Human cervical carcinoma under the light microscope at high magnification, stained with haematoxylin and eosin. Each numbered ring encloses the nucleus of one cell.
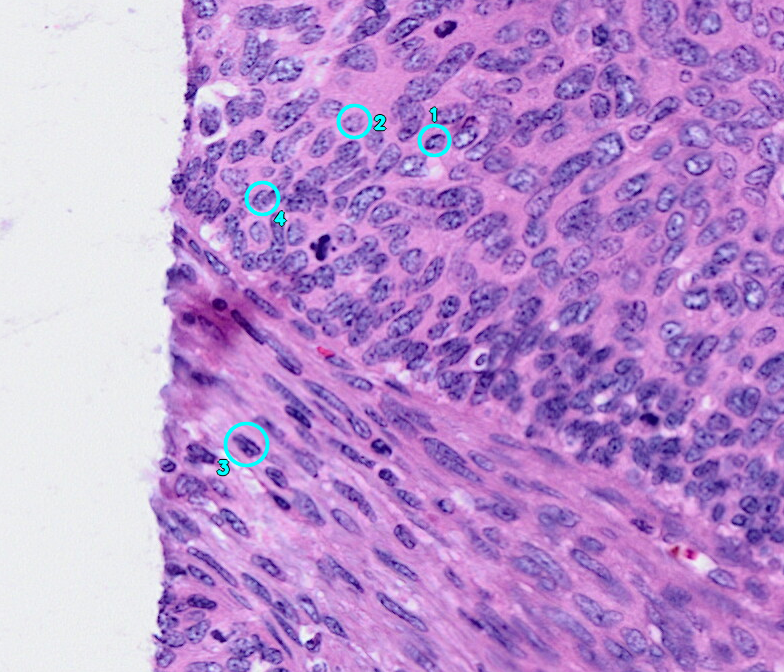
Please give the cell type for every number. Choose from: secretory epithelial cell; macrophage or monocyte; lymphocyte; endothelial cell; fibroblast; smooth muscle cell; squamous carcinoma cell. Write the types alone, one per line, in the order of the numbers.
squamous carcinoma cell
squamous carcinoma cell
lymphocyte
squamous carcinoma cell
